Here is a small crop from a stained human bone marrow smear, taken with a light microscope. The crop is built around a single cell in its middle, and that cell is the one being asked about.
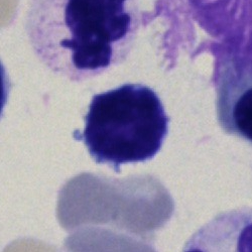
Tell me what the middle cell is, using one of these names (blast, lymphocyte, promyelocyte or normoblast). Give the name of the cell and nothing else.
lymphocyte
